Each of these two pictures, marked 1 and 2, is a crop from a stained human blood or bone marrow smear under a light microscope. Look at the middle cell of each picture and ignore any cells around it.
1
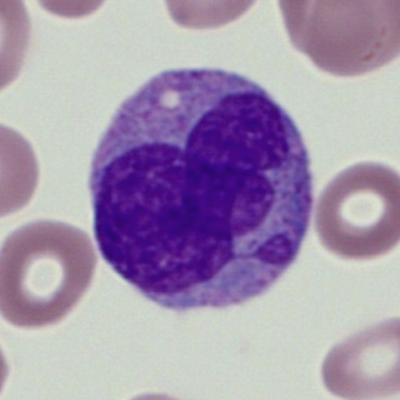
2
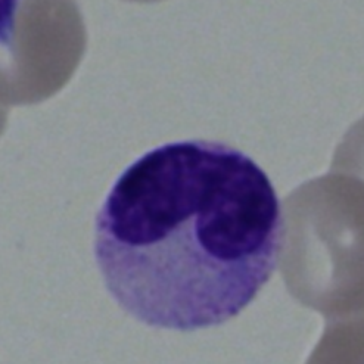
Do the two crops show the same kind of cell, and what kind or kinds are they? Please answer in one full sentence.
No, crop 2 holds a band neutrophil, while crop 1 holds a monocyte.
